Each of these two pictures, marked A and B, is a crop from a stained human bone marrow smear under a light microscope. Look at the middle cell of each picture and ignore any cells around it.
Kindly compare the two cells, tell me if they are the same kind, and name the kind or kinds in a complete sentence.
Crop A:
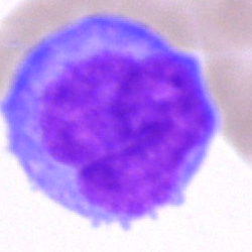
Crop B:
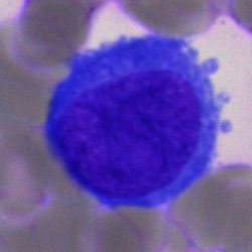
Yes, as for both crops, the cells shown are blasts.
